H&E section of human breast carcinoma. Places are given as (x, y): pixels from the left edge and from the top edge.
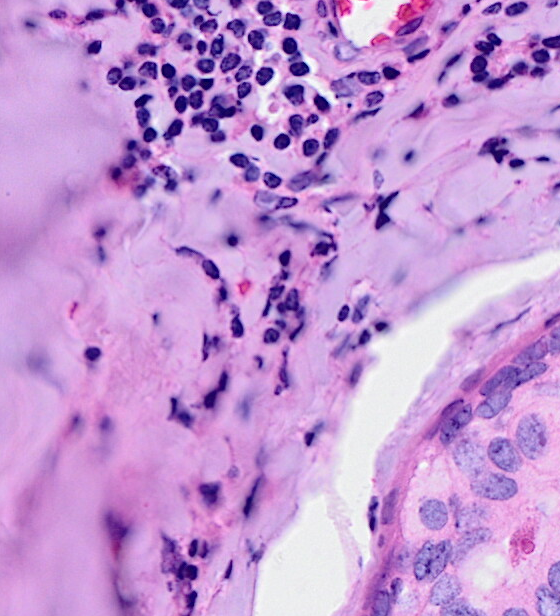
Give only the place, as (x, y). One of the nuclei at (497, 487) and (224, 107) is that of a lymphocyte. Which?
(224, 107)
